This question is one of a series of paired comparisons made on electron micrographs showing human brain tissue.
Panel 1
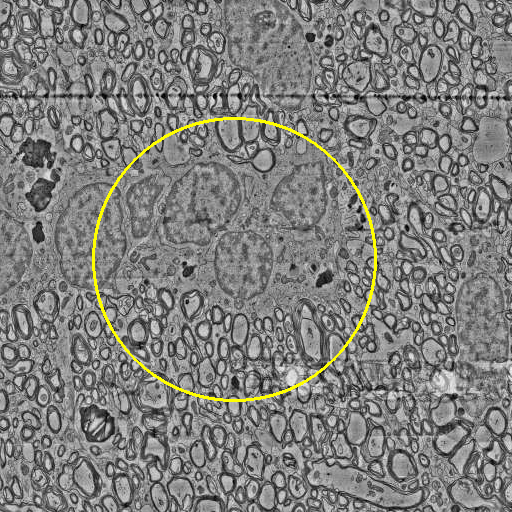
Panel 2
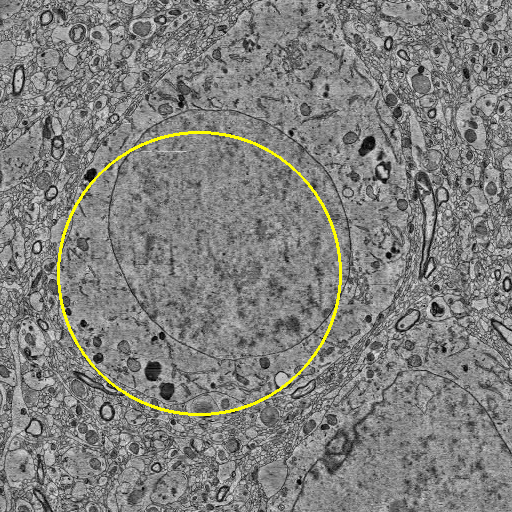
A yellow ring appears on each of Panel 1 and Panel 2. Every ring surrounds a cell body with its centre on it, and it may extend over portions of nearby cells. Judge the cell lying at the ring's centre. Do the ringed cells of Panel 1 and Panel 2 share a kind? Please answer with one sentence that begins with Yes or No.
No, the ring-centre cell in Panel 1 and the one in Panel 2 are of two kinds.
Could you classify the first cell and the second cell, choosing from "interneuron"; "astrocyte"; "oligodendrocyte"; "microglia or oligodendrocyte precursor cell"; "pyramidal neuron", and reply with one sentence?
The second cell is a pyramidal neuron, while the first is an oligodendrocyte.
